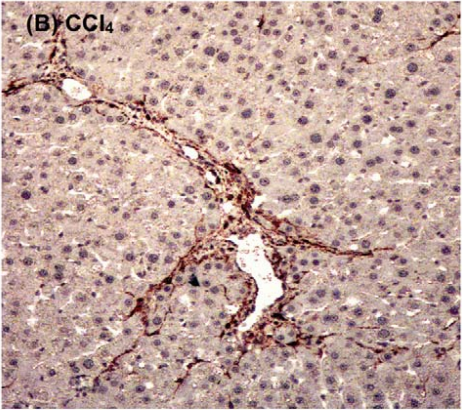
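Parenchyma of large polygonal cells with round central nuclei is crossed by broad bands of brown-stained, elongated spindle cells. The bands radiate from an open vessel-like space and branch out between the cell plates, with thinner brown strands extending further into the parenchyma.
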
